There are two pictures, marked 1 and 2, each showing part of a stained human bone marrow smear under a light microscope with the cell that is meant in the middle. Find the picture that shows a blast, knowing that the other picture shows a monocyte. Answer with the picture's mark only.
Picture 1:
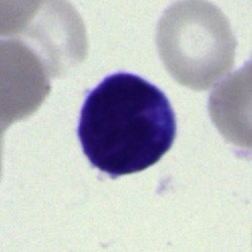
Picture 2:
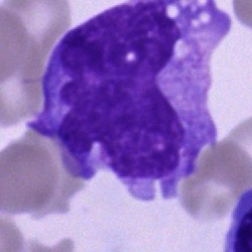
1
